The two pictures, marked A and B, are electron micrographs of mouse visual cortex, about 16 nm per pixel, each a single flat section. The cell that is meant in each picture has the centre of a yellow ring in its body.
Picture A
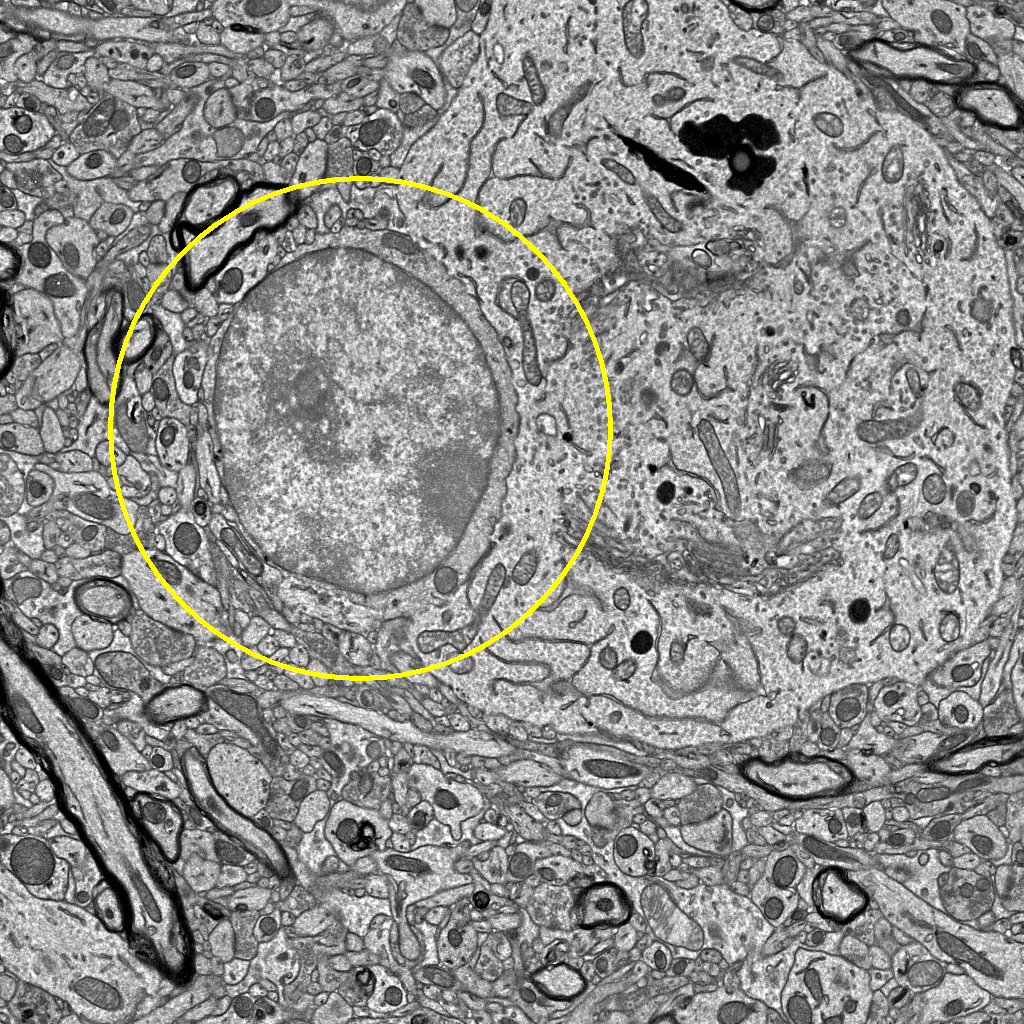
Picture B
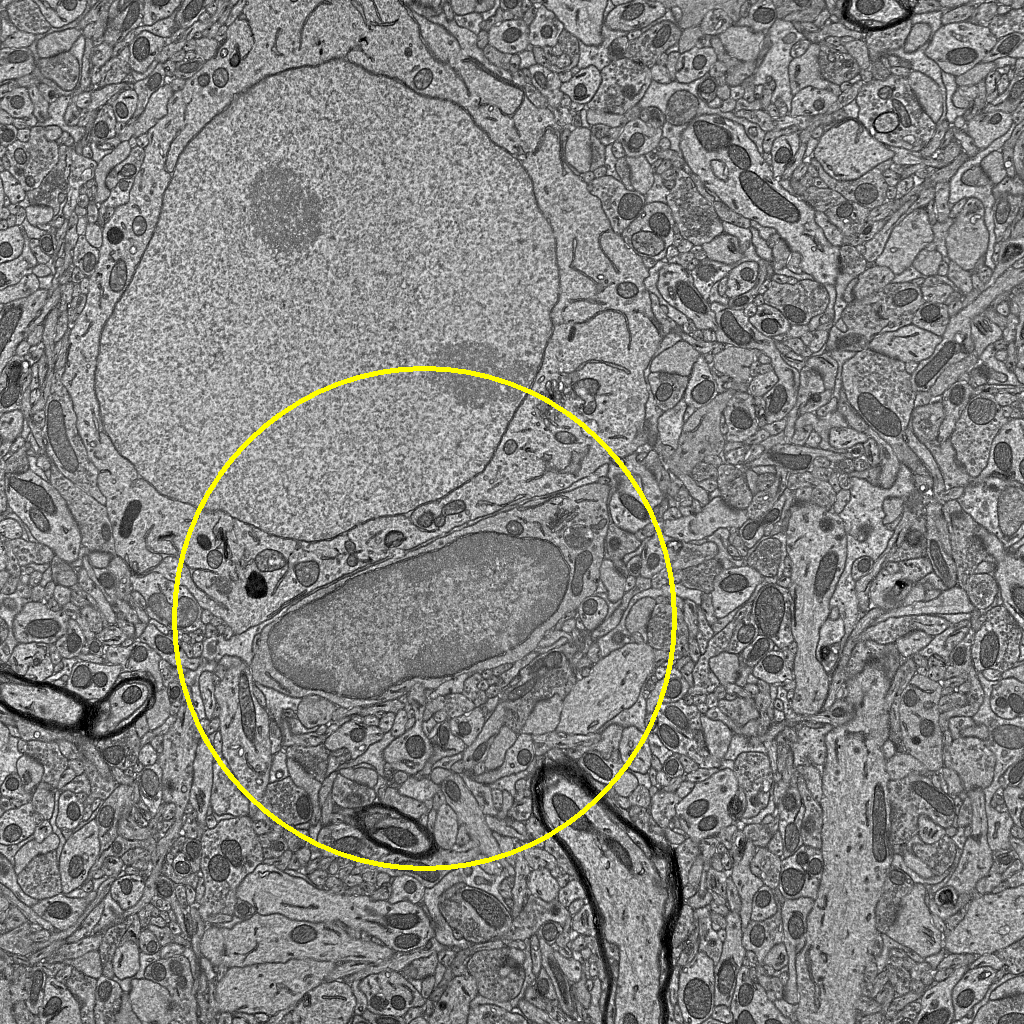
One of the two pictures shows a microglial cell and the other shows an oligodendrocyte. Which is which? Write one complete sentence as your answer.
Picture A is of an oligodendrocyte, and picture B is of a microglial cell.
